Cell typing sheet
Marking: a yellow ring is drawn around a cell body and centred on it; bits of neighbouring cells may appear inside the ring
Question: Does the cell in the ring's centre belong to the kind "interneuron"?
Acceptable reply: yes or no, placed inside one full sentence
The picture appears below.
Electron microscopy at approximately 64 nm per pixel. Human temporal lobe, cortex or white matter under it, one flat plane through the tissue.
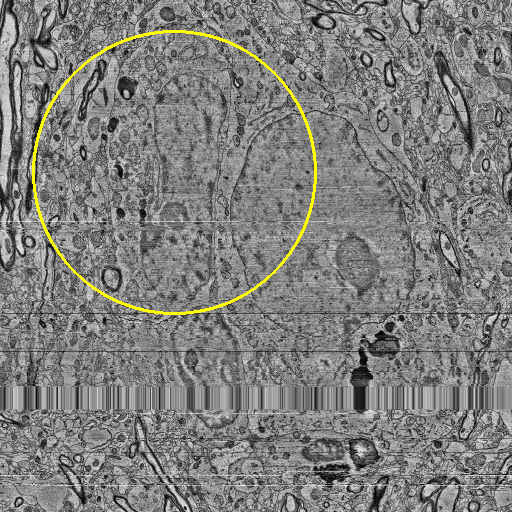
Yes, the cell in the centre of the ring is of the kind asked about.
